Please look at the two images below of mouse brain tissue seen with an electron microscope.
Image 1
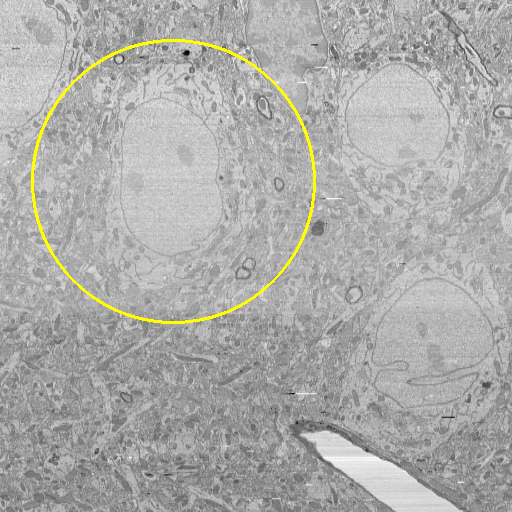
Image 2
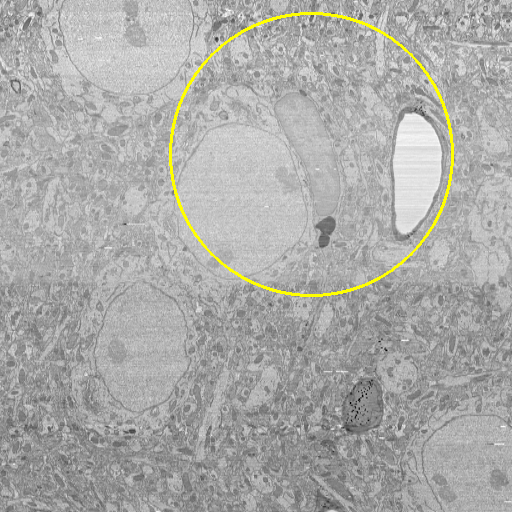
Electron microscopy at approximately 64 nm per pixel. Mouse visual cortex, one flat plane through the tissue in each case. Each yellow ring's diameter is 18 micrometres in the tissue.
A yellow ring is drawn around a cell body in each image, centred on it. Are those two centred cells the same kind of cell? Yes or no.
no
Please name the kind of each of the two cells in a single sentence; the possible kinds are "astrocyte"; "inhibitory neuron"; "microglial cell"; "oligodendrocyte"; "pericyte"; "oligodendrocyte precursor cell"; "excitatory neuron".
In the first picture the ring is centred on an excitatory neuron, and in the second on a microglial cell.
